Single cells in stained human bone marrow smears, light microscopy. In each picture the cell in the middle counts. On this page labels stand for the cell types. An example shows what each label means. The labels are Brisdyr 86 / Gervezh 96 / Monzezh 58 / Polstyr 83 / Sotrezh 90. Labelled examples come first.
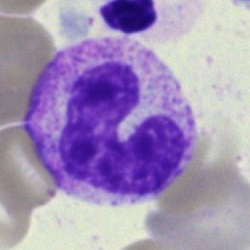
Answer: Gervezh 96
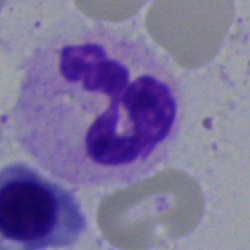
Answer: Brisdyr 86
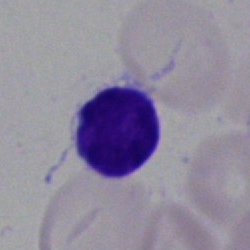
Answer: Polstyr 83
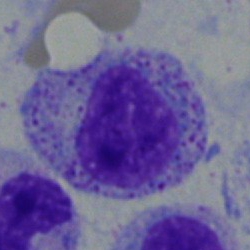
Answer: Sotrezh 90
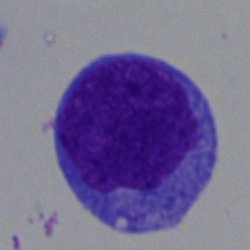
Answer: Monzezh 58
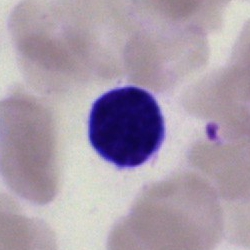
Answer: Polstyr 83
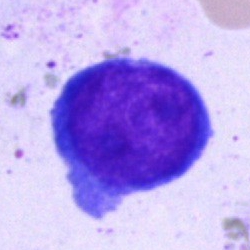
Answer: Monzezh 58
